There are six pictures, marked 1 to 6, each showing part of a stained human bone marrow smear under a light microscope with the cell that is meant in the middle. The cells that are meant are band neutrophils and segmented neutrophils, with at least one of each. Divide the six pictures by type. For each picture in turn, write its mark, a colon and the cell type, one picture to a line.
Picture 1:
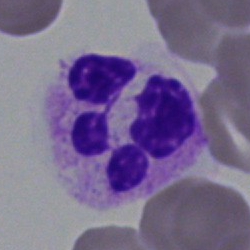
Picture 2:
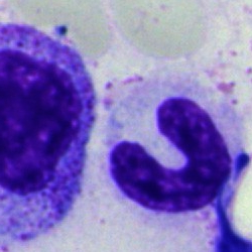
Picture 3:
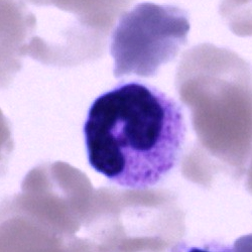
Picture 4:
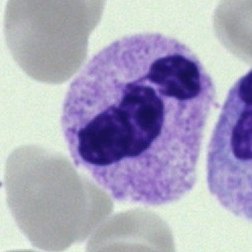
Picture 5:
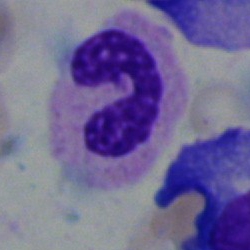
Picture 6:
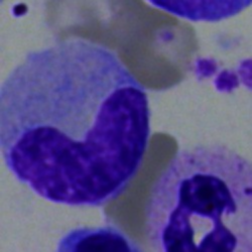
1: segmented neutrophil
2: band neutrophil
3: segmented neutrophil
4: segmented neutrophil
5: band neutrophil
6: band neutrophil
